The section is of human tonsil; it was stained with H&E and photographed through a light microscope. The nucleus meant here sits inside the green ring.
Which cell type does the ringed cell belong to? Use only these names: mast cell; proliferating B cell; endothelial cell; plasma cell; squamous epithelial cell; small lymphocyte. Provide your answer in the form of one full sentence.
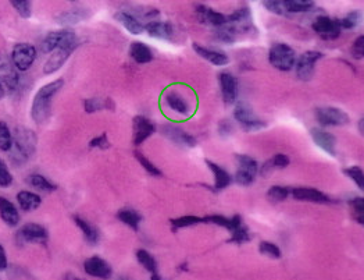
Recorded by type, the ringed cell is a mast cell.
